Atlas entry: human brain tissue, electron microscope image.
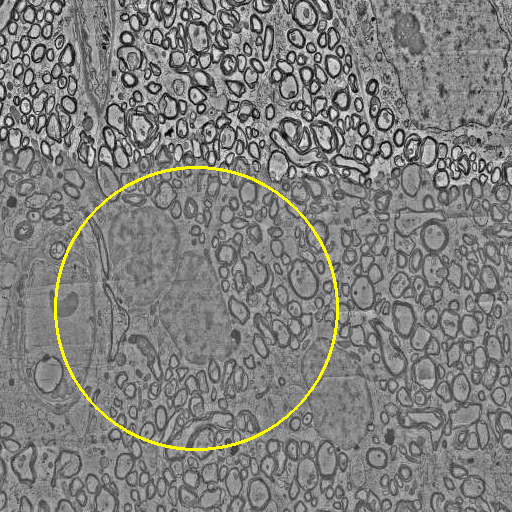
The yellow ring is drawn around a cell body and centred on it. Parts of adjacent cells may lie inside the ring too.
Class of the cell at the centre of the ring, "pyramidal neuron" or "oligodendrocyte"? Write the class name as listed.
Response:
oligodendrocyte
